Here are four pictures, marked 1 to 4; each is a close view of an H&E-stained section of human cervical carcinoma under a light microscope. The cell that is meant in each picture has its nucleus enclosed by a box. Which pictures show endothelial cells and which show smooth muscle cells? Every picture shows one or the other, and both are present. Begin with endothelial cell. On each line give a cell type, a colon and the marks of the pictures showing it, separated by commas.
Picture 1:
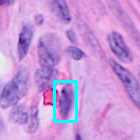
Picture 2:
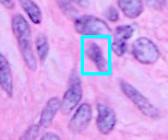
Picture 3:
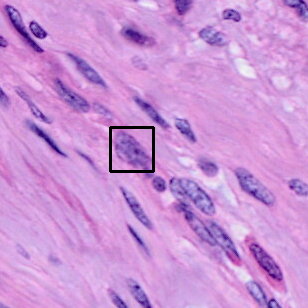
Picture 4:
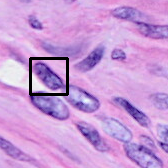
endothelial cell: 1, 3, 4
smooth muscle cell: 2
